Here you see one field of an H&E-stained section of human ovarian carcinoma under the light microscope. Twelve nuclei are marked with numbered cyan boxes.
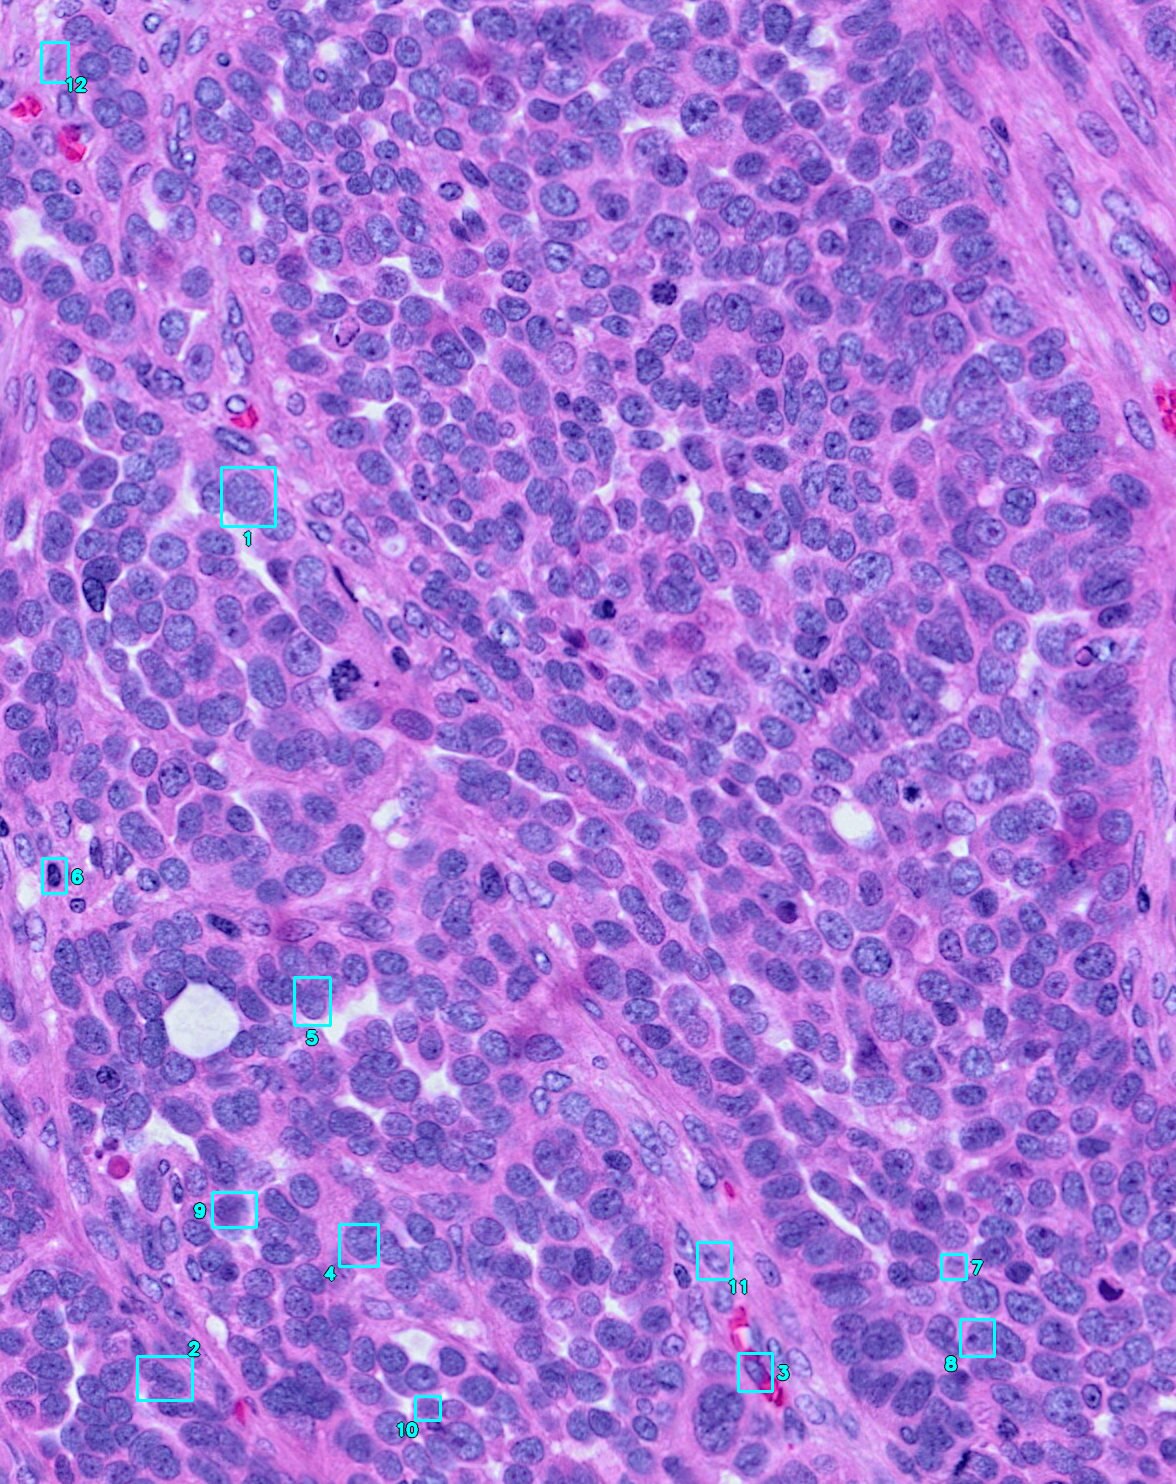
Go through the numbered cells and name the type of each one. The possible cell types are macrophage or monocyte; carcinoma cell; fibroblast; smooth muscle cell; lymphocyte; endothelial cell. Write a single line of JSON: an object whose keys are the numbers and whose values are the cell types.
{"1": "carcinoma cell", "2": "carcinoma cell", "3": "endothelial cell", "4": "carcinoma cell", "5": "carcinoma cell", "6": "lymphocyte", "7": "macrophage or monocyte", "8": "carcinoma cell", "9": "carcinoma cell", "10": "carcinoma cell", "11": "fibroblast", "12": "fibroblast"}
